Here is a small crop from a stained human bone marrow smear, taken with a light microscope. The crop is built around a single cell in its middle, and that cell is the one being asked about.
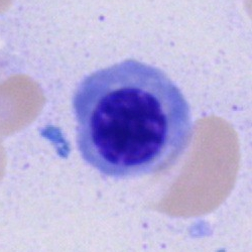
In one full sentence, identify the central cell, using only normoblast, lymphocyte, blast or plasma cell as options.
Whatever else lies nearby, the middle cell is a normoblast.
